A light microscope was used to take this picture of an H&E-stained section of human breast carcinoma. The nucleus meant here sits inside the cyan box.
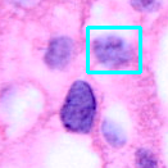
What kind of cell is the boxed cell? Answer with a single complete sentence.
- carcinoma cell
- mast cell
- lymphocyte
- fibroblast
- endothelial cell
As classified here, the boxed cell is a carcinoma cell.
